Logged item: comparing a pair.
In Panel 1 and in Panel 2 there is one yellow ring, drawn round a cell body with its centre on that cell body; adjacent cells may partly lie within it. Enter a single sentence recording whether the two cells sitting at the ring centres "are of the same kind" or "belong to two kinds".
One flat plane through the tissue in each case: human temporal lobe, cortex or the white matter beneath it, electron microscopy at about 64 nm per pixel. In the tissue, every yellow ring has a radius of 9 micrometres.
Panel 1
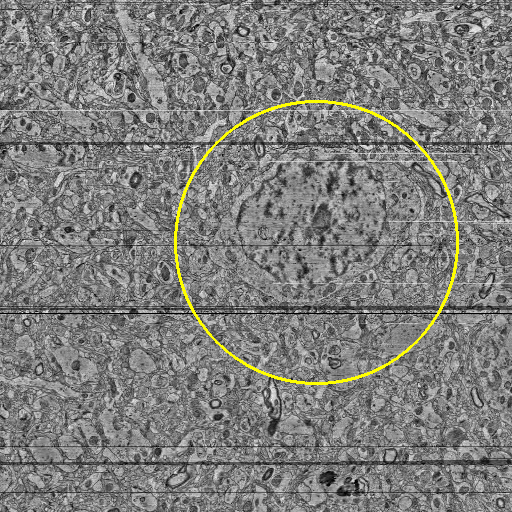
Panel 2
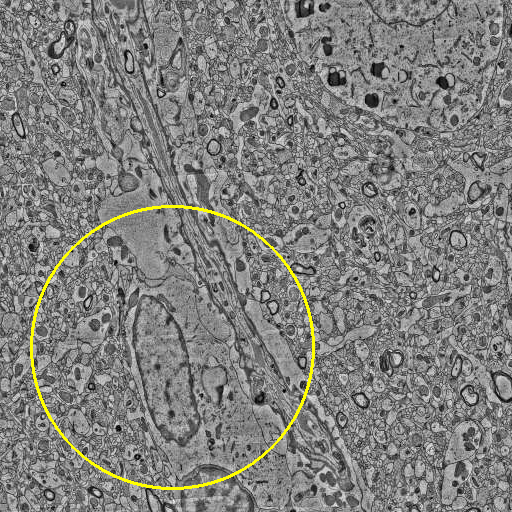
Logged: the cells centred in the rings of Panel 1 and Panel 2 belong to two kinds.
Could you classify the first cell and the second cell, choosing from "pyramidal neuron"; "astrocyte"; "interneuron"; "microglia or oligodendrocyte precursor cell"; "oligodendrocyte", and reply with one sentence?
The second cell is a microglial cell or oligodendrocyte precursor cell, while the first is an interneuron.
